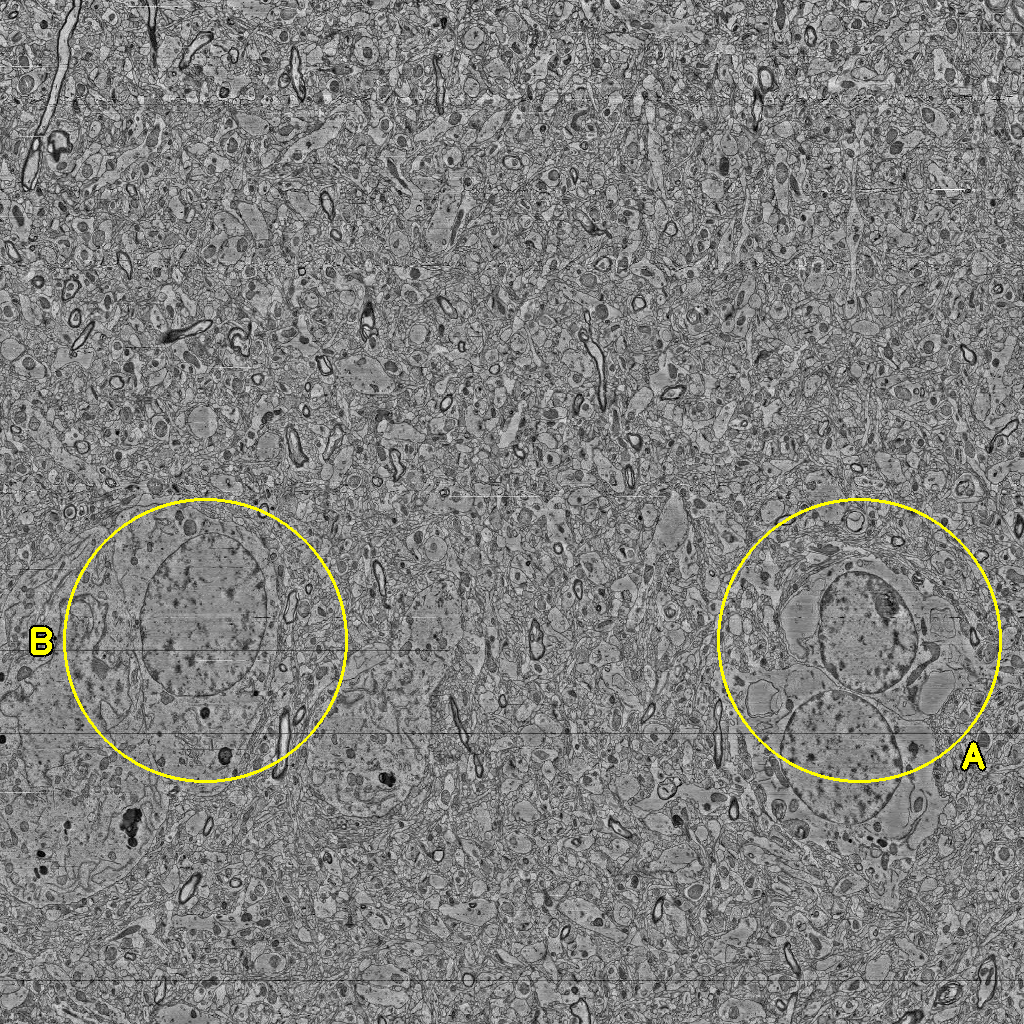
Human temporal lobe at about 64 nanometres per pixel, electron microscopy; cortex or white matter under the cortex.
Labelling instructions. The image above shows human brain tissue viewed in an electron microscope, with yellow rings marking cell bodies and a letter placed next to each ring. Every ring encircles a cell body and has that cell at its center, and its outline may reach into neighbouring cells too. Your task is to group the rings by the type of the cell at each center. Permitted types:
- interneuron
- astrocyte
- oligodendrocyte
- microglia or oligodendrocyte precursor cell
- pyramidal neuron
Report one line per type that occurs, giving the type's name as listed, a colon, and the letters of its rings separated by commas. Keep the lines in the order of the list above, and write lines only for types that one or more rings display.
astrocyte: A
pyramidal neuron: B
